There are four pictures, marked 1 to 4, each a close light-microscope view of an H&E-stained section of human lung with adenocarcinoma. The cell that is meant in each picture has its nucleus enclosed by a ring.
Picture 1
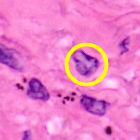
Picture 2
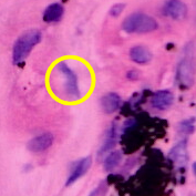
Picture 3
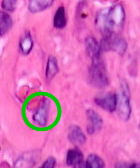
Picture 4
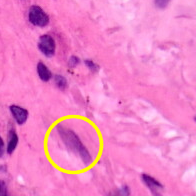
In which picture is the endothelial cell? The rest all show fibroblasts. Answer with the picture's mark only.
3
